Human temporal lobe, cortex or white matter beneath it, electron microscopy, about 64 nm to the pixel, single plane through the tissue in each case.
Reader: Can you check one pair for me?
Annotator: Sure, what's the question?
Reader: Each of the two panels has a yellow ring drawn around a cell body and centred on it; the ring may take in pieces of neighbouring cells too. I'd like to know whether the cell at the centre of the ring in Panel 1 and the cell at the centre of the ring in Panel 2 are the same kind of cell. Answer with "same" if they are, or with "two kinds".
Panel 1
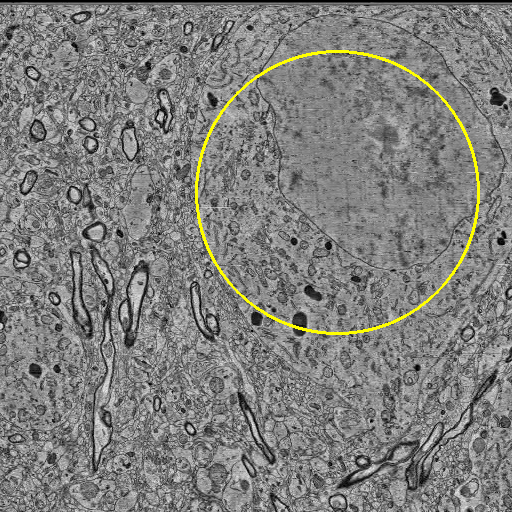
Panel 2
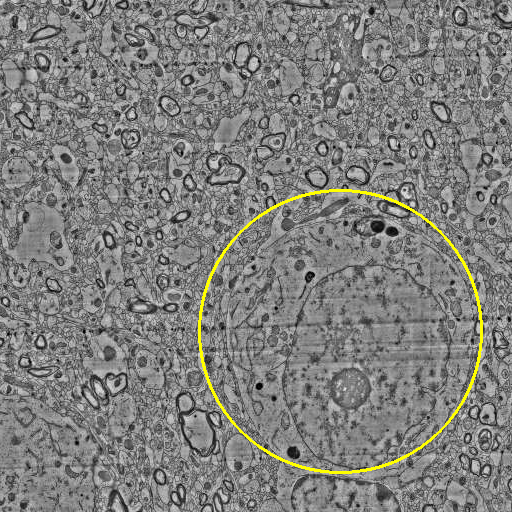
same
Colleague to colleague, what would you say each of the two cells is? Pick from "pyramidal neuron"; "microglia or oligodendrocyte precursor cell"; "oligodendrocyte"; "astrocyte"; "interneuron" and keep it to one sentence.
The ring centre holds a pyramidal neuron in each of the two pictures.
